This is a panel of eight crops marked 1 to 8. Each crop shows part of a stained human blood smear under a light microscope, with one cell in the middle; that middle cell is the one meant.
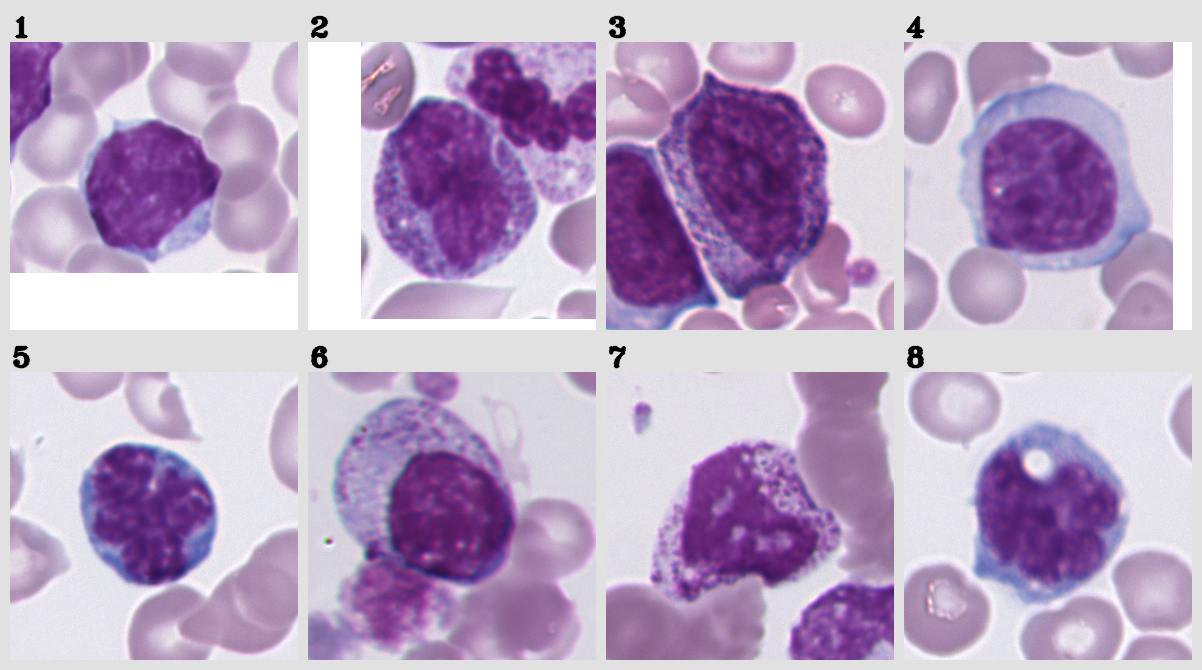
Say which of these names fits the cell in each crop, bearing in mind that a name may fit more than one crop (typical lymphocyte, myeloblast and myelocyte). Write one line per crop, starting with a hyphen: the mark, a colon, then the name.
- 1: typical lymphocyte
- 2: myelocyte
- 3: myelocyte
- 4: myeloblast
- 5: myeloblast
- 6: myelocyte
- 7: myelocyte
- 8: myeloblast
